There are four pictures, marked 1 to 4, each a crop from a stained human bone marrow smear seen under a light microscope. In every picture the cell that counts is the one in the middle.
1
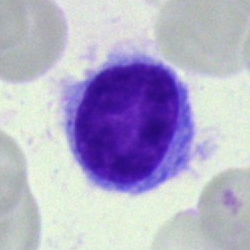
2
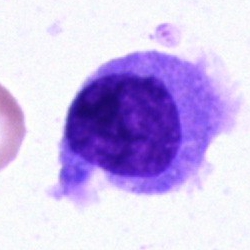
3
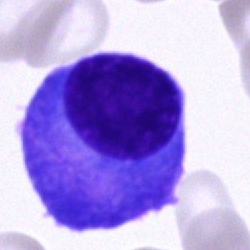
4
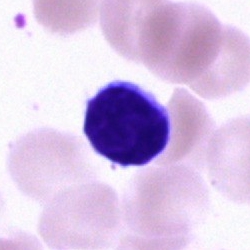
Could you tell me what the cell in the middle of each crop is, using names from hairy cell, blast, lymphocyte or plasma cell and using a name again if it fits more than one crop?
1: hairy cell
2: plasma cell
3: plasma cell
4: lymphocyte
